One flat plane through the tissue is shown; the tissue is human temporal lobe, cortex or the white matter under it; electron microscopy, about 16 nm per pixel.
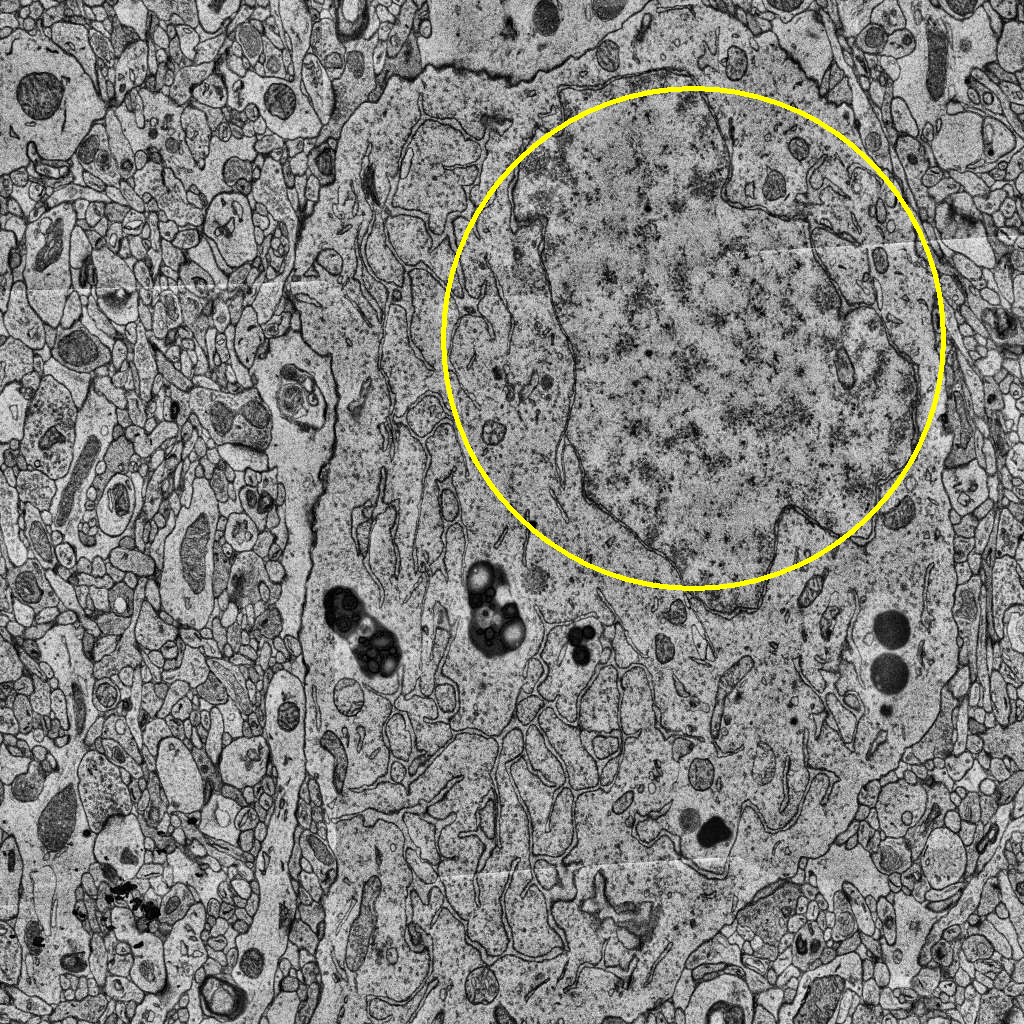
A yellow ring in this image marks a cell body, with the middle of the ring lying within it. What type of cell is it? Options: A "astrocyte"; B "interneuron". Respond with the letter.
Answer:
B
